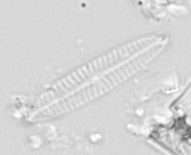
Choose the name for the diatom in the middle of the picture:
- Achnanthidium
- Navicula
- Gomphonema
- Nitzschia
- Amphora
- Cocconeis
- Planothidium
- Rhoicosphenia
Navicula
